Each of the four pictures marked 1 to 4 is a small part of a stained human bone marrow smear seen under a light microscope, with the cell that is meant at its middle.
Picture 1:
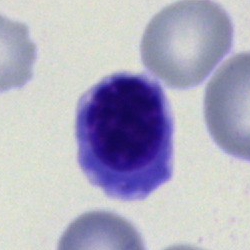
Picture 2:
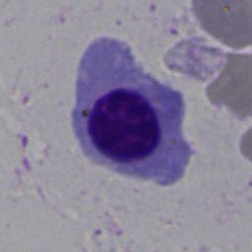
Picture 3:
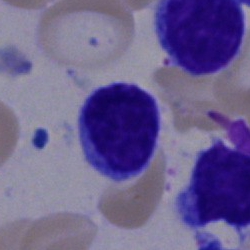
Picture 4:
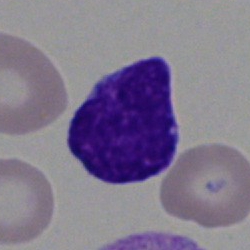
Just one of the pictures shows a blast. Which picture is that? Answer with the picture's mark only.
4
